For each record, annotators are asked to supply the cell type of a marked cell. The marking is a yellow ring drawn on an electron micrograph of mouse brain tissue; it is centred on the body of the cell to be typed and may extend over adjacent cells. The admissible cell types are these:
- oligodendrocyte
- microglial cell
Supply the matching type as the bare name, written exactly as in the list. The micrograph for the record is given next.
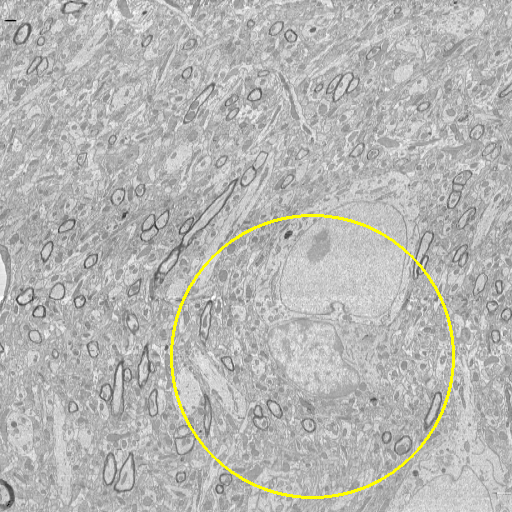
oligodendrocyte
